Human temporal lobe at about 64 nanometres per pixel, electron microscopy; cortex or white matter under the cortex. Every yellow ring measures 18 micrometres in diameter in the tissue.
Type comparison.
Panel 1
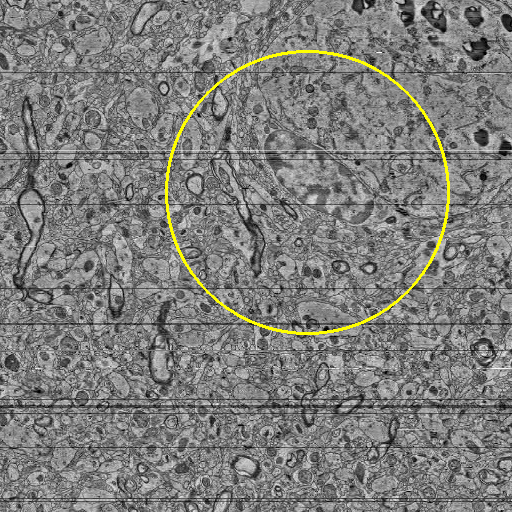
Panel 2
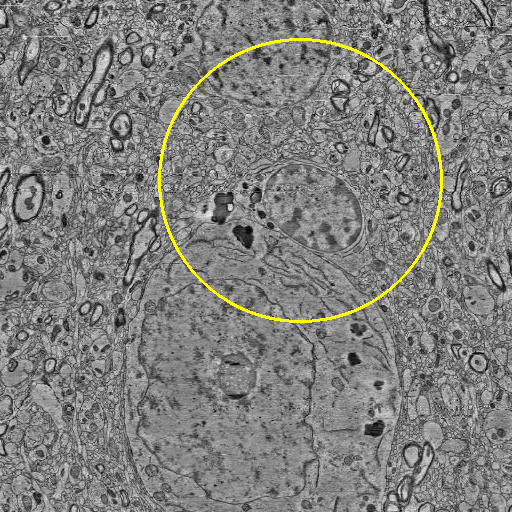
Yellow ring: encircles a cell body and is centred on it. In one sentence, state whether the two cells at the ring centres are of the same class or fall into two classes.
In these panels, the two cells at the ring centres are of the same class.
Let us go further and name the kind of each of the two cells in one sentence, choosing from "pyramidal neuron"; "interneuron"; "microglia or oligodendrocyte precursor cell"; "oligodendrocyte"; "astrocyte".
The cell at the ring centre is a microglial cell or oligodendrocyte precursor cell in both pictures.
